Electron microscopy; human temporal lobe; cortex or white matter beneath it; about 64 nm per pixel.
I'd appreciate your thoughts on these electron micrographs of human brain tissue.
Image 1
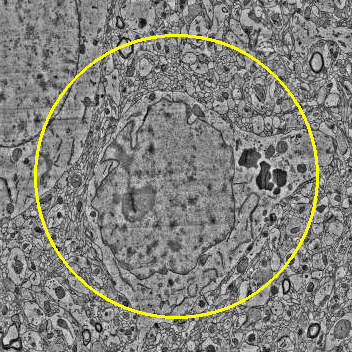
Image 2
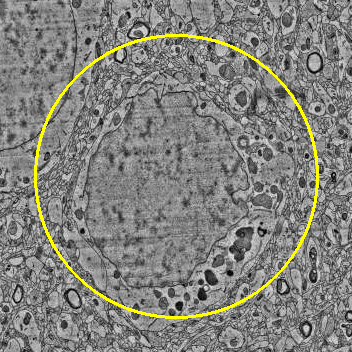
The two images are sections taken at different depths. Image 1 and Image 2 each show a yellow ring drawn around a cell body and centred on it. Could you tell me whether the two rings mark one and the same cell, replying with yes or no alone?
yes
